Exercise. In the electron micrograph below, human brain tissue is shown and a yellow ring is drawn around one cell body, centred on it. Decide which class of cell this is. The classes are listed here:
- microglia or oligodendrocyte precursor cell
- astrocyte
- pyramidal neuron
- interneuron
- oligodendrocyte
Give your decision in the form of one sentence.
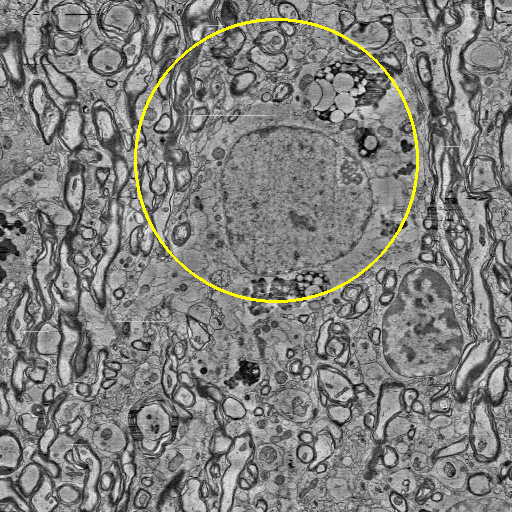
The cell body marked by the ring belongs to an astrocyte.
